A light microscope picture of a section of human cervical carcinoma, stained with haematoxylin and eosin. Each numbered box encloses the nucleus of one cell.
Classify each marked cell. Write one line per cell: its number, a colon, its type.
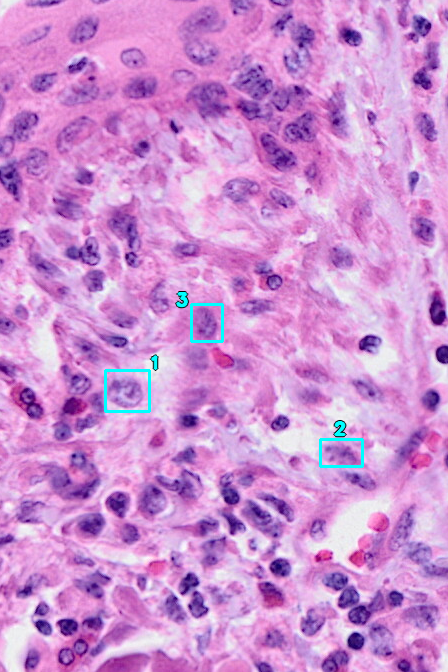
1: fibroblast
2: fibroblast
3: endothelial cell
